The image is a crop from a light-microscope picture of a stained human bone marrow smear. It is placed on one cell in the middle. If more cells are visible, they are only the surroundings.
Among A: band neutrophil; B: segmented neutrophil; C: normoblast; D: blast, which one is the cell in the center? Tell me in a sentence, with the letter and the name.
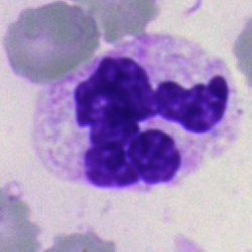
Option B is right, the centrally situated cell being a segmented neutrophil.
